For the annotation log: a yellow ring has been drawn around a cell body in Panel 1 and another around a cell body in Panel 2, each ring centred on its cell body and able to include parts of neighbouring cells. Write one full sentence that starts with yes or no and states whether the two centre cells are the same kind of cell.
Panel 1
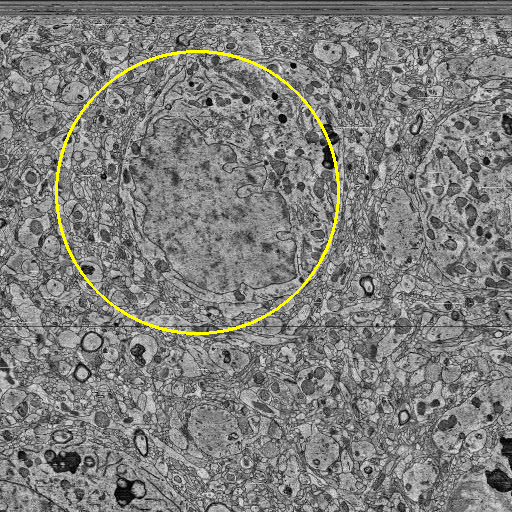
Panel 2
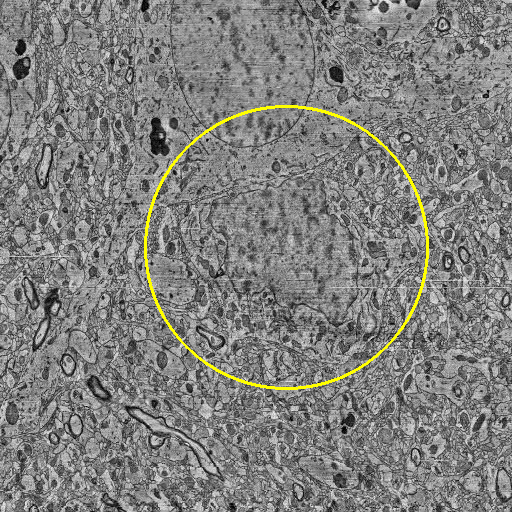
Yes, the two centre cells are the same kind of cell.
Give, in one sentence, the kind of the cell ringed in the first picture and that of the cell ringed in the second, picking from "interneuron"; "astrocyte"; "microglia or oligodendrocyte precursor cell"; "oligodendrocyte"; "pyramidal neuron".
Both cells are the same kind, each one being an interneuron.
